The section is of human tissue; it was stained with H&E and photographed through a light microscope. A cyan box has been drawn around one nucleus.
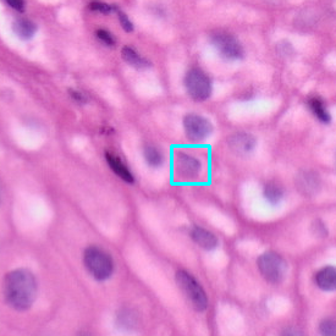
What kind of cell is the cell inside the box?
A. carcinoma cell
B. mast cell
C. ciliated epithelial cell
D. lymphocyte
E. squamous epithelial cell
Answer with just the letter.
E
